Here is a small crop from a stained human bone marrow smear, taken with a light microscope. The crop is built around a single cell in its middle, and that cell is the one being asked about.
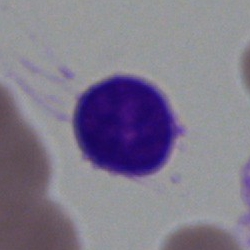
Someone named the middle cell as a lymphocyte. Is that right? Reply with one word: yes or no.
yes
